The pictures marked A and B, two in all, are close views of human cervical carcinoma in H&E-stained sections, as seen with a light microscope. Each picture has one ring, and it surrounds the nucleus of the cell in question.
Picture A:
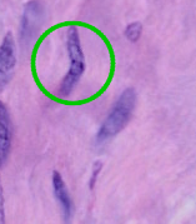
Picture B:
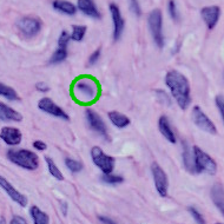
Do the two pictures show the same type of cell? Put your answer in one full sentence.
Yes, the two pictures both show fibroblasts.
